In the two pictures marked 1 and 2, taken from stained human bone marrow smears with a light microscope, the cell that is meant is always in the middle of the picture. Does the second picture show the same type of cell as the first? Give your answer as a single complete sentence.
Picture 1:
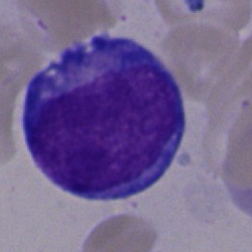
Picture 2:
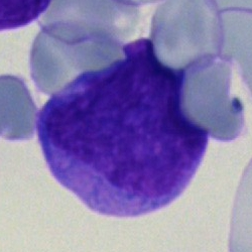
Yes, both cells are blasts.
